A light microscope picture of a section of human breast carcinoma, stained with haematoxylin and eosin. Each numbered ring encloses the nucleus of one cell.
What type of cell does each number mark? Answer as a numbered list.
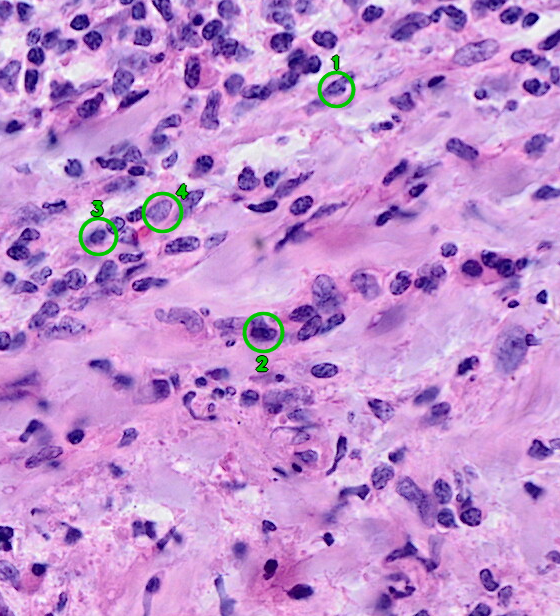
1. lymphocyte
2. lymphocyte
3. lymphocyte
4. endothelial cell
